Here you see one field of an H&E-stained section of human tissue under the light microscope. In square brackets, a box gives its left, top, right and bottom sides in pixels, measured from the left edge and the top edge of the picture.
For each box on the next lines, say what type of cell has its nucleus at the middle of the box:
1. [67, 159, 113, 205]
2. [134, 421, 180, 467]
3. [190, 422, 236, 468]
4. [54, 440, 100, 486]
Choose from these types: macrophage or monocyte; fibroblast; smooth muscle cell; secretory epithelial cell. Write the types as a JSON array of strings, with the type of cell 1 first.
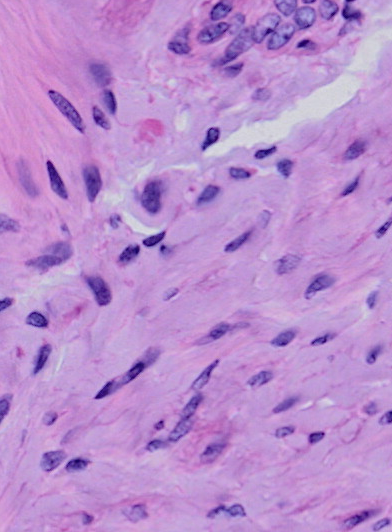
["fibroblast", "fibroblast", "smooth muscle cell", "fibroblast"]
